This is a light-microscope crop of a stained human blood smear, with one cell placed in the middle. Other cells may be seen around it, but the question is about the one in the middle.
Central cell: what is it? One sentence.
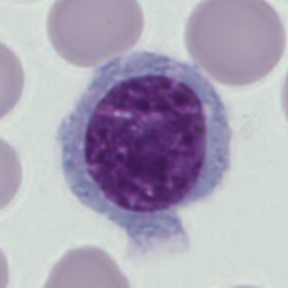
At the crop's centre, the cell is a plasma cell.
